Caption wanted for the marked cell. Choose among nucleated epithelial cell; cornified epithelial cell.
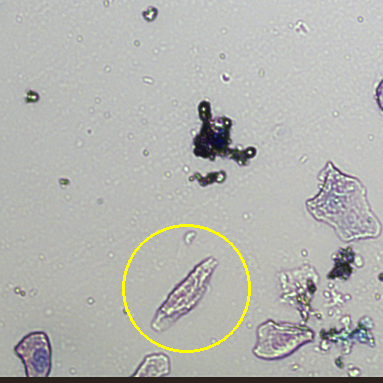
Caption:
Ringed in yellow is a cornified epithelial cell.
